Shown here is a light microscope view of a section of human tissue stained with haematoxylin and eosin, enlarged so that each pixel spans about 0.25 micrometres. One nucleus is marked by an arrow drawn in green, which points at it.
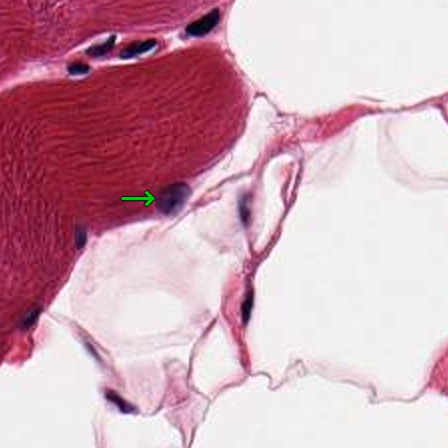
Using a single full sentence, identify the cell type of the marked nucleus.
The nucleus that has been marked belongs to a skeletal muscle fibre.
